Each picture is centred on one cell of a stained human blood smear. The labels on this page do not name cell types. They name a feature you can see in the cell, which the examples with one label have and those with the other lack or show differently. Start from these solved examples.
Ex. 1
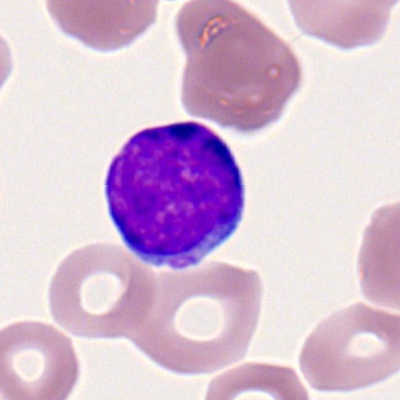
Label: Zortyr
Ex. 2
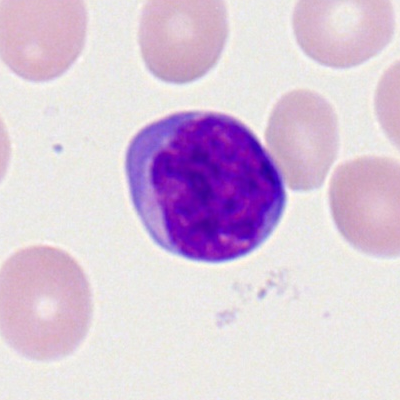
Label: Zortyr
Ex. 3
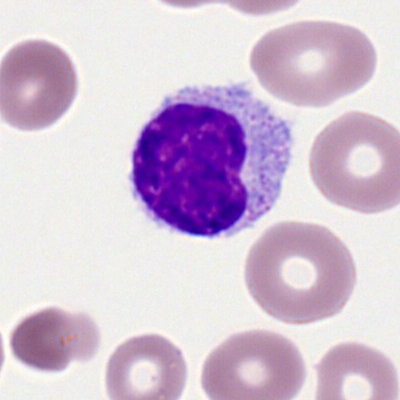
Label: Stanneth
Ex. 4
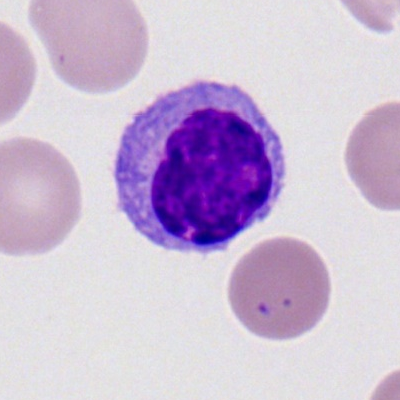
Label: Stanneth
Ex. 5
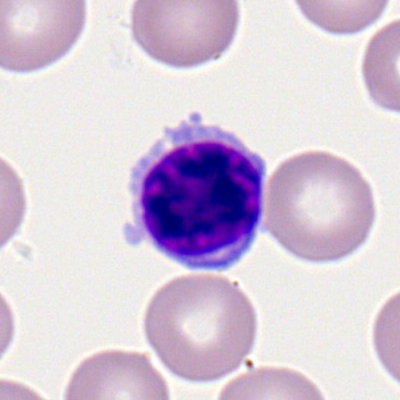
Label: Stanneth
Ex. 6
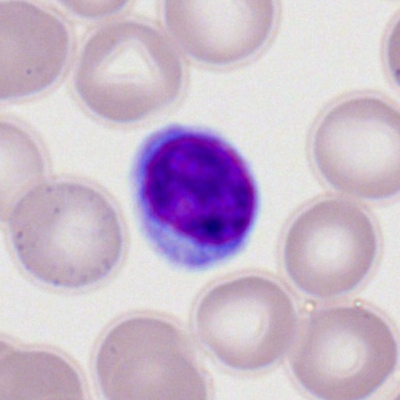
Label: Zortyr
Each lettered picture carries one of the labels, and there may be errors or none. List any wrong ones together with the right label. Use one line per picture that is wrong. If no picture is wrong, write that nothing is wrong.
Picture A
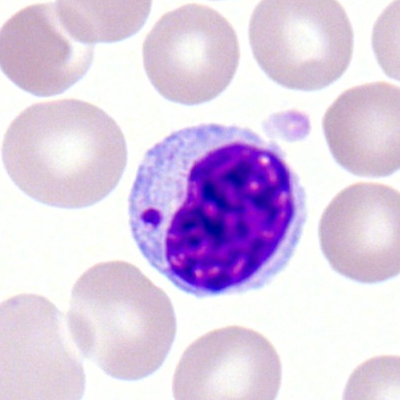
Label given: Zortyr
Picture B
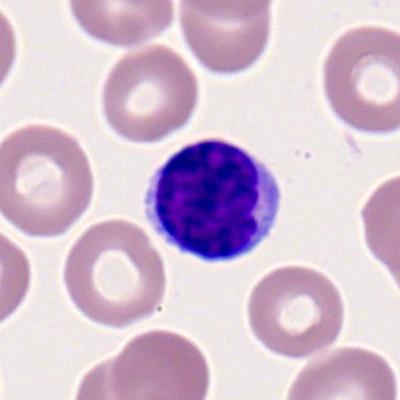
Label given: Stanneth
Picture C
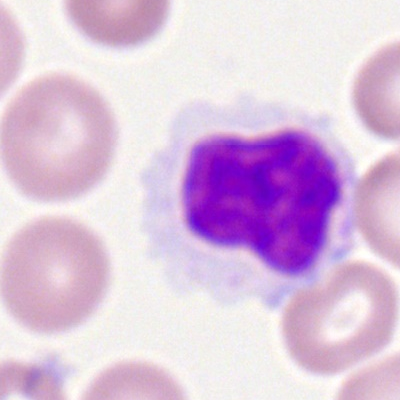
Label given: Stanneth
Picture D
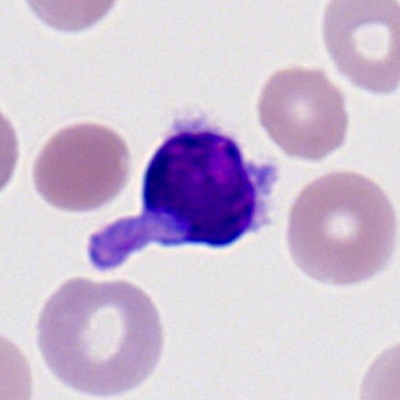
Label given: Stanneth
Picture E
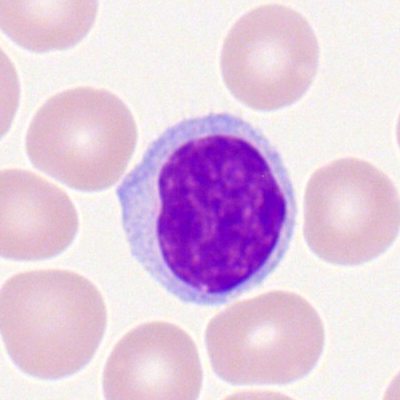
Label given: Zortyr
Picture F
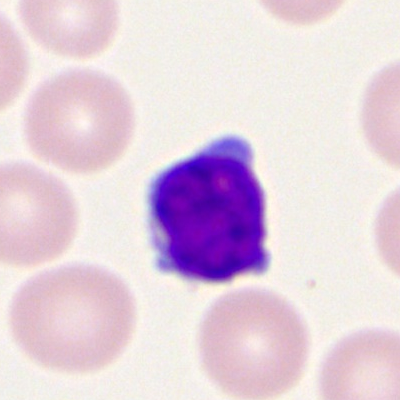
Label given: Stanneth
B: change Stanneth to Zortyr
E: change Zortyr to Stanneth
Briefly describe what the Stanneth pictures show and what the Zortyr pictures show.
Stanneth: ragged outline or projections; Zortyr: smooth outline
